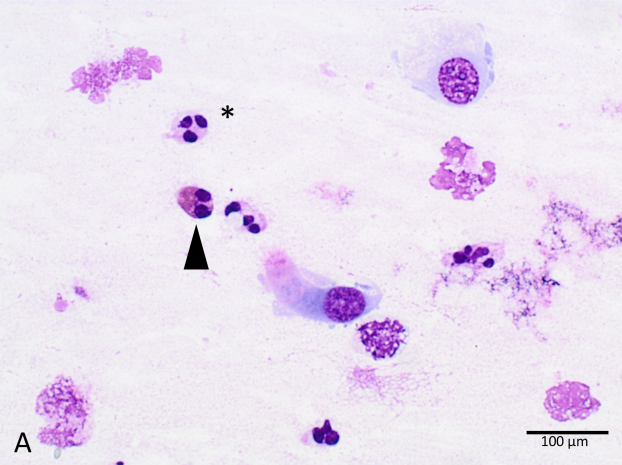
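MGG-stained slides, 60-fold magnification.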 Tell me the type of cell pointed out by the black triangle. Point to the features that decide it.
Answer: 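Eosinophilic granulocytes. The marked cell is small and round, far smaller than the large cells with round nuclei. Its cytoplasm is filled with orange-pink granular material. Its nucleus is dark and lobed.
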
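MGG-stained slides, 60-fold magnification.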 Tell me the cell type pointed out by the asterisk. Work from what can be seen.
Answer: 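The cell beside the asterisk is small, with a nucleus split into several dark lobes. Its cytoplasm is pale, without orange granules.
Hence: neutrophilic granulocytes.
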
